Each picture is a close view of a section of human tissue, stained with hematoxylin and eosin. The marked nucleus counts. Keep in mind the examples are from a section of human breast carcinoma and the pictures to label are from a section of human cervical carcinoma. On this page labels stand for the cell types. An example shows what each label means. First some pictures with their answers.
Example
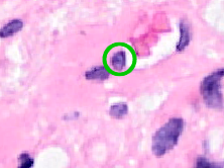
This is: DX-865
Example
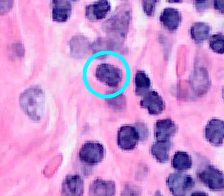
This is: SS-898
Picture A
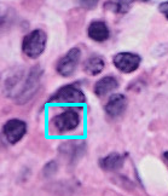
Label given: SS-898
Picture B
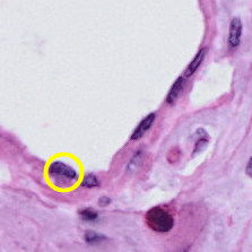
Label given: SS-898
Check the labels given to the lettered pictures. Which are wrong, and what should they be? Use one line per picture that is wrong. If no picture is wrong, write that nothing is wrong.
Wrong: B (SS-898); correct: DX-865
